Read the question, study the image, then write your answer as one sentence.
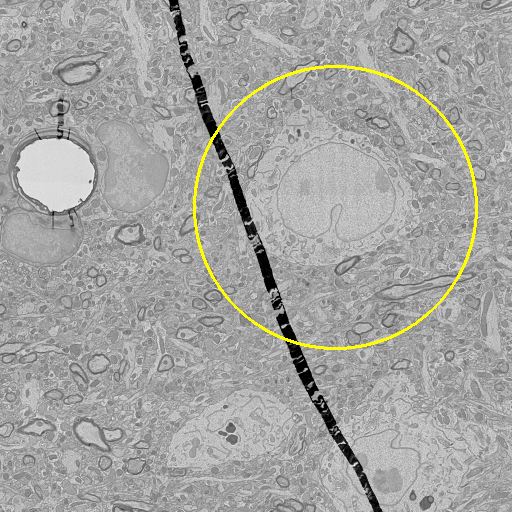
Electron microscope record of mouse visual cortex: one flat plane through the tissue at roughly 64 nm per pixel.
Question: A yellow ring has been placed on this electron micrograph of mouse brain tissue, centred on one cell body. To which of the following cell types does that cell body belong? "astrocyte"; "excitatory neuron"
That cell body belongs to an excitatory neuron.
